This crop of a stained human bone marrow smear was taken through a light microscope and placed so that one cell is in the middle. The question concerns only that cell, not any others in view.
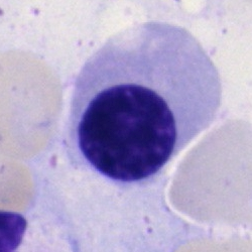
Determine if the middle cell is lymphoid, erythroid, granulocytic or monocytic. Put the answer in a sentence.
Regarding its lineage, the centered cell is erythroid.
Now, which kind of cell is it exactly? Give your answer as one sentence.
On this slide crop, the central cell is an erythroblast.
